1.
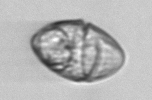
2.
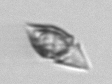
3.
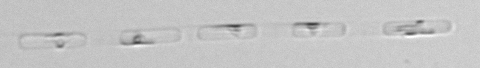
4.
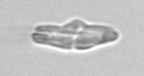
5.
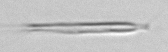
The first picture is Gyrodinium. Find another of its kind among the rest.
Picture 2.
